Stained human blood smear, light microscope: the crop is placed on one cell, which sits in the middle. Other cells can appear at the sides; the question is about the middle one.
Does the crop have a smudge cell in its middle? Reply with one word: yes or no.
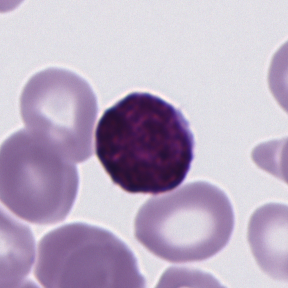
no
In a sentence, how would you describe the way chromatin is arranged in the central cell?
The chromatin within its nucleus forms coarse clumps.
